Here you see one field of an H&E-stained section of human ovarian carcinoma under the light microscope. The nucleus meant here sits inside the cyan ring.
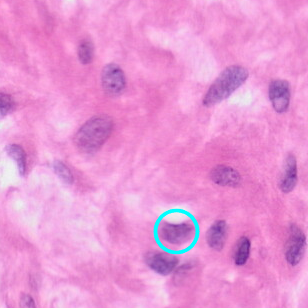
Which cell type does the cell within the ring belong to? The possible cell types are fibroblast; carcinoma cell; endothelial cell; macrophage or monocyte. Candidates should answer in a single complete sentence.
The identity of the cell within the ring is that of a fibroblast.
